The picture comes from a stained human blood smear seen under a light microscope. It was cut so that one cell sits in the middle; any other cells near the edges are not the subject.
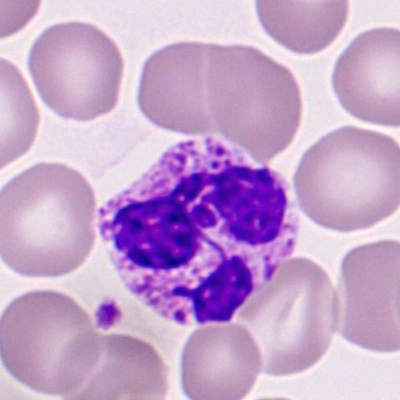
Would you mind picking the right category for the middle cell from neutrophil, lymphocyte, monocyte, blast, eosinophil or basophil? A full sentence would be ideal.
In the middle of this smear crop is a basophil.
